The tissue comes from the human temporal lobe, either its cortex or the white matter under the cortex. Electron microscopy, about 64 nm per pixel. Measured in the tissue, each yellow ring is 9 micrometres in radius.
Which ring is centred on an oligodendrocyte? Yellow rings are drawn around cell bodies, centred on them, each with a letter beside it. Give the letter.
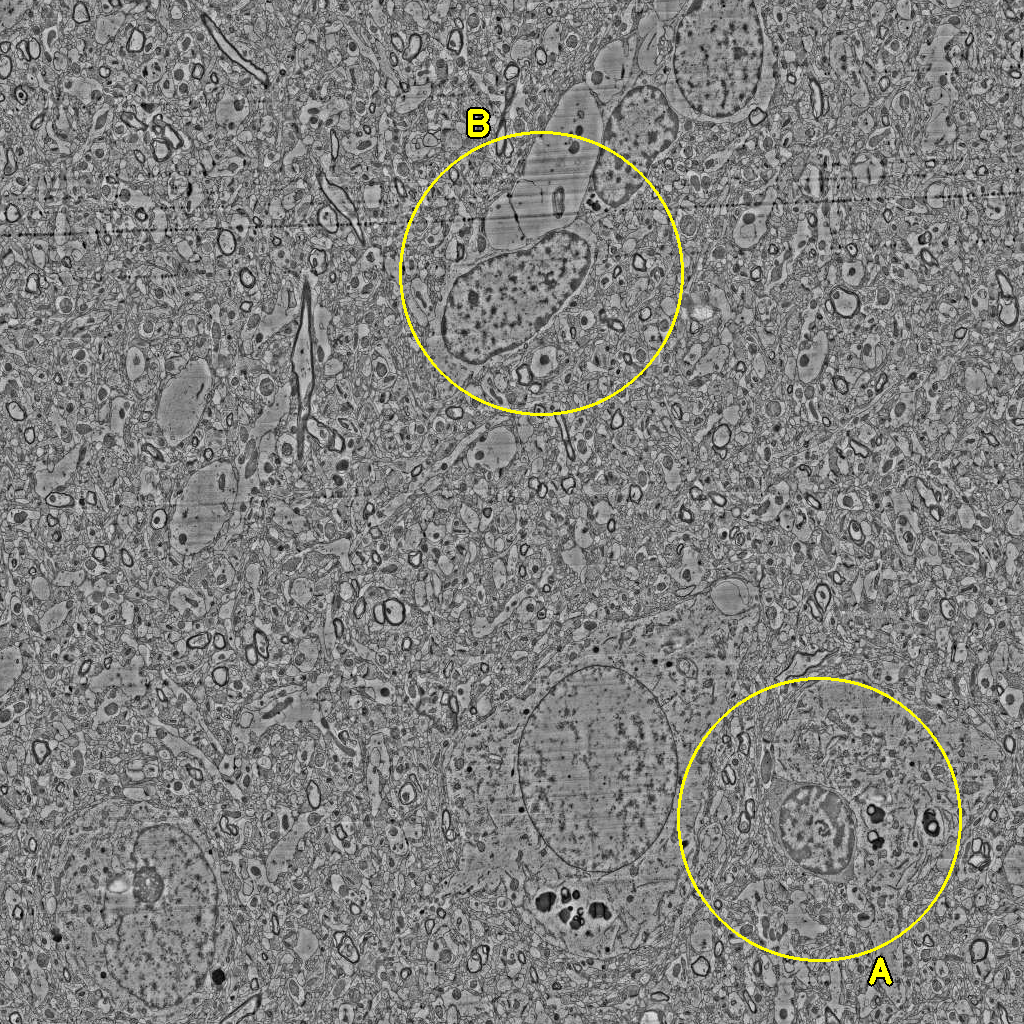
A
